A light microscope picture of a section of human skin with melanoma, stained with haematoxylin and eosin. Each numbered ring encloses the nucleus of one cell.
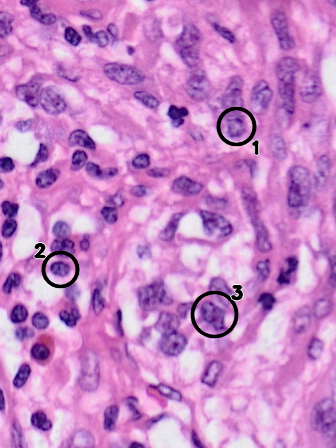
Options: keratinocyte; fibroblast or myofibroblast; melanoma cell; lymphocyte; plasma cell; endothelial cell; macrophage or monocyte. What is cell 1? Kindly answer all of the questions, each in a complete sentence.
In this section, the cell tagged 1 is a melanoma cell.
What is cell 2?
The one labeled 2 is a lymphocyte, to put it simply.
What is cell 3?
The cell referred to as 3 is a melanoma cell.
